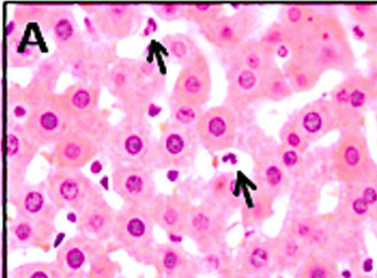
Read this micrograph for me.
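Liver parenchyma with cords of polygonal hepatocytes having pink cytoplasm and round, centrally placed purple nuclei. Pale, open sinusoidal spaces run between the cords. Only a few small cells with dark, lobed nuclei lie within the sinusoids, marked by black arrows.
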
